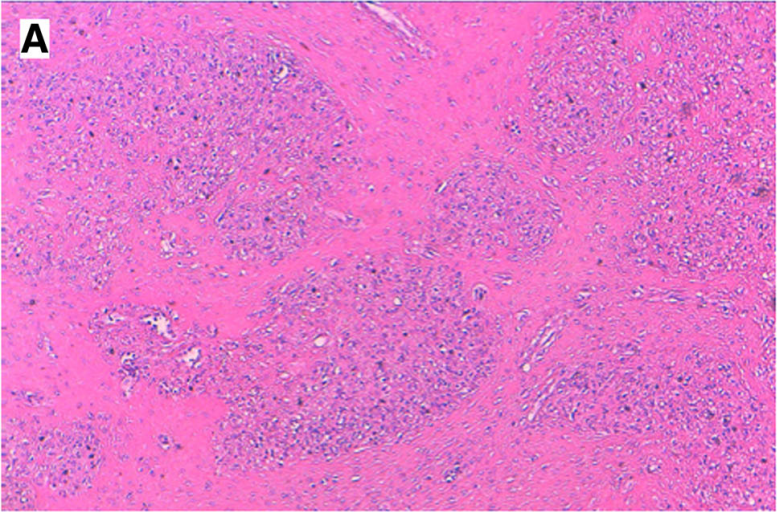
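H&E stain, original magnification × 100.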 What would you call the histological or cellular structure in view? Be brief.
Variably sized angiomatoid nodules.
